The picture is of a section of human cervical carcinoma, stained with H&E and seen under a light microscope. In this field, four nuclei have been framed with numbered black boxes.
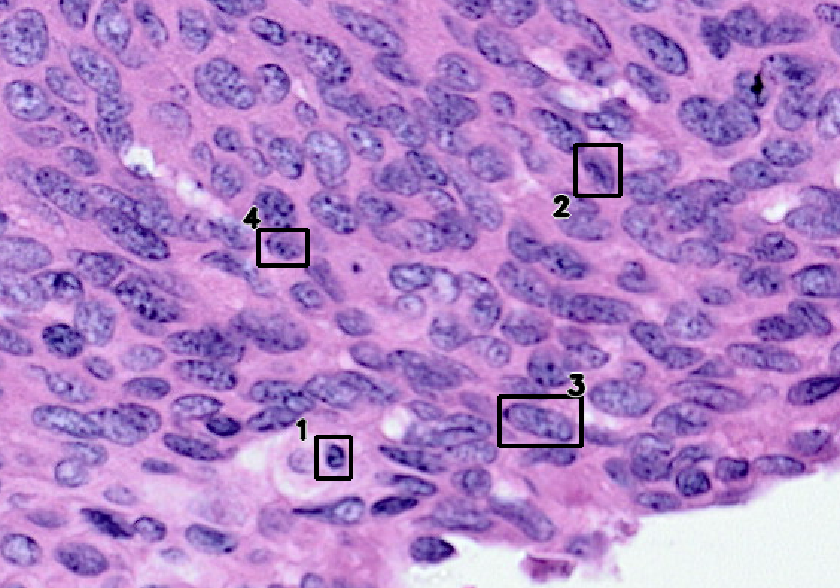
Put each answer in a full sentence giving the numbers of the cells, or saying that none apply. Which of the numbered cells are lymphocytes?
The only cell among those numbered to be a lymphocyte is number 1.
